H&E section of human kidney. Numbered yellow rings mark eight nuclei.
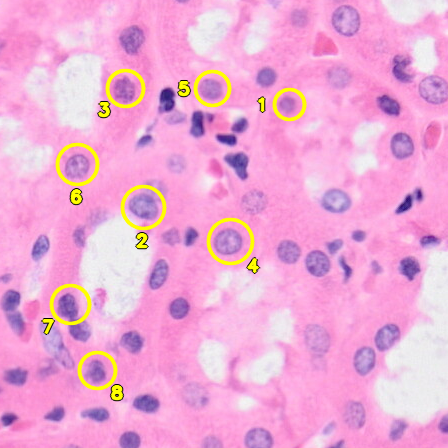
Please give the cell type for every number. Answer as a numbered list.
1. proximal tubule cell
2. loop of Henle or distal tubule cell
3. proximal tubule cell
4. proximal tubule cell
5. proximal tubule cell
6. proximal tubule cell
7. loop of Henle or distal tubule cell
8. loop of Henle or distal tubule cell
